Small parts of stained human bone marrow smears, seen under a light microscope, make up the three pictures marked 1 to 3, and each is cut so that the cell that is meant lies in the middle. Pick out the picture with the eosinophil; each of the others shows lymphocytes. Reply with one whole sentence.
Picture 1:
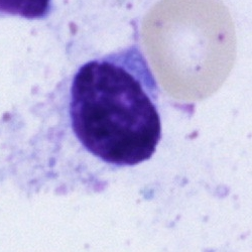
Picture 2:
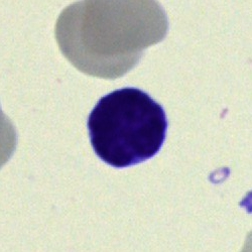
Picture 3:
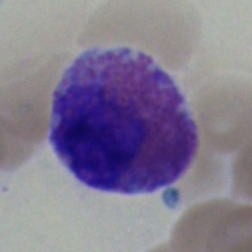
Picture 3 shows the eosinophil.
